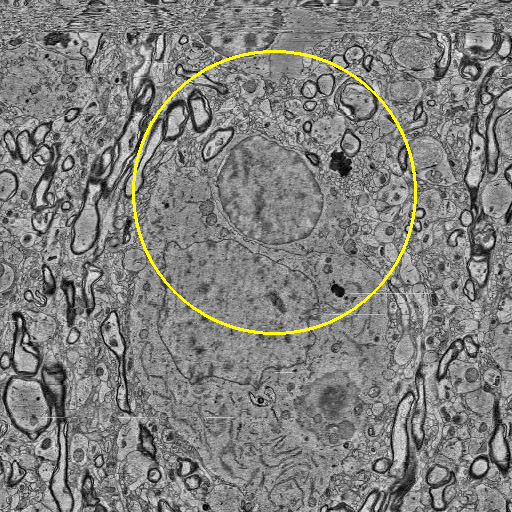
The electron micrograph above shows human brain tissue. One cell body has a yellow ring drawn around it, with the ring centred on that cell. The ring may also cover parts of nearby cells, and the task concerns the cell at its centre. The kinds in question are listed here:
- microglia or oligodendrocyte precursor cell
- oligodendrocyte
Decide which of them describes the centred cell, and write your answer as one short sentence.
The centred cell is an oligodendrocyte.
